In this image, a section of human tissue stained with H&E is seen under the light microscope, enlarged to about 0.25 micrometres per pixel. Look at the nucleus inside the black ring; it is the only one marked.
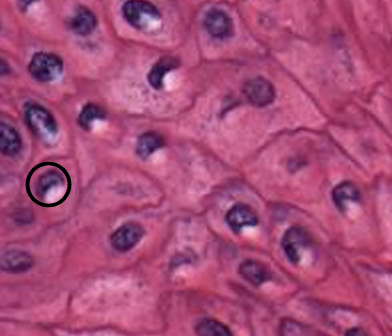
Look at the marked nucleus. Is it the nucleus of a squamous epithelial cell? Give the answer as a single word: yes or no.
yes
